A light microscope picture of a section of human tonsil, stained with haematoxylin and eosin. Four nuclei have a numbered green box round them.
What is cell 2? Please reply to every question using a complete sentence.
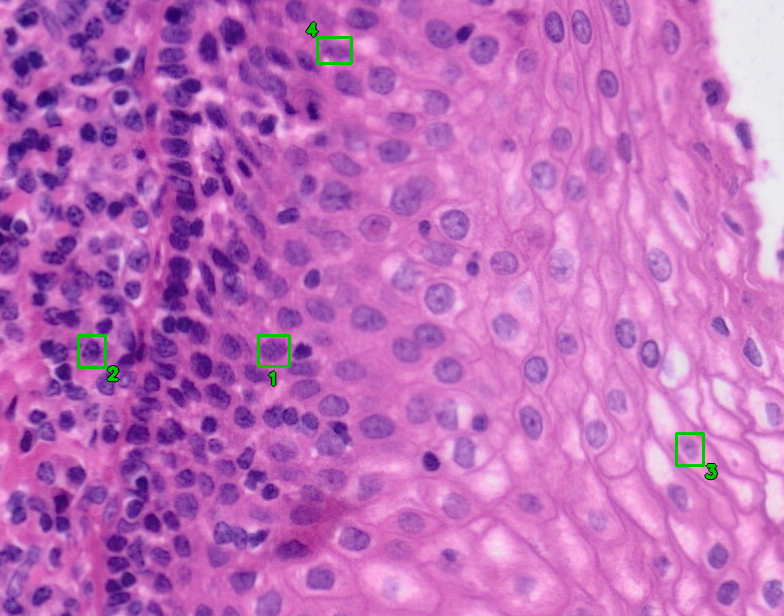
Cell number 2 in this section is a plasma cell.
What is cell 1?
The cell that carries the label 1 is a squamous epithelial cell.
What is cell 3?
The marked nucleus 3 is that of a squamous epithelial cell.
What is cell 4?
The cell to which the number 4 is assigned is a squamous epithelial cell.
